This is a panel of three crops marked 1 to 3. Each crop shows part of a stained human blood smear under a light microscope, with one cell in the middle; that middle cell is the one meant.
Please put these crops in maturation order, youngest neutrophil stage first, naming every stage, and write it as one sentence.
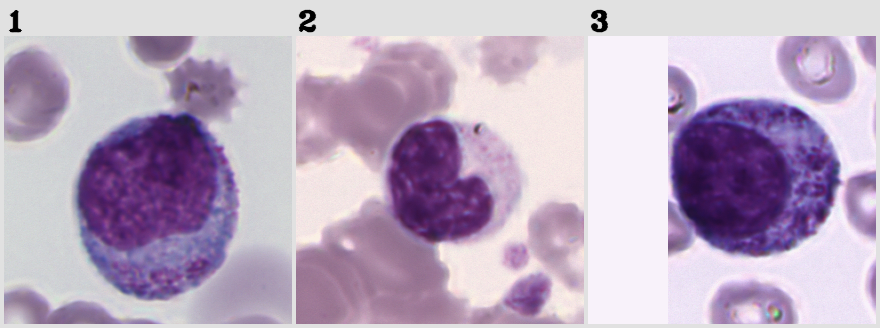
The maturation order of the crops, earliest to latest, is crop 1 (a promyelocyte), crop 3 (a myelocyte) and crop 2 (a metamyelocyte).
